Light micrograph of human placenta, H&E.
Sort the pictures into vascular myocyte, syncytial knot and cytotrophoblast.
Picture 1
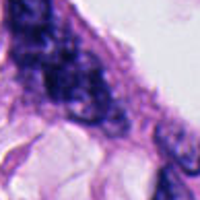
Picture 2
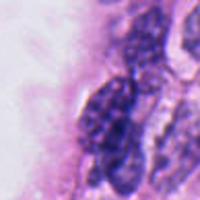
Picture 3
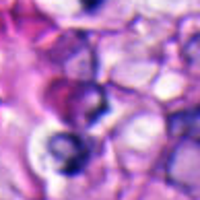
Syncytial knots: 1
Cytotrophoblasts: 2
Vascular myocytes: 3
